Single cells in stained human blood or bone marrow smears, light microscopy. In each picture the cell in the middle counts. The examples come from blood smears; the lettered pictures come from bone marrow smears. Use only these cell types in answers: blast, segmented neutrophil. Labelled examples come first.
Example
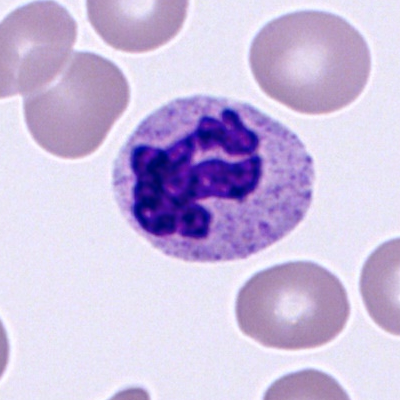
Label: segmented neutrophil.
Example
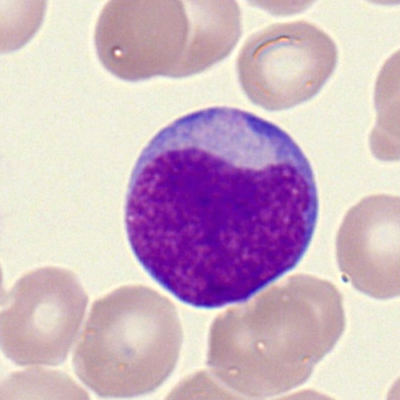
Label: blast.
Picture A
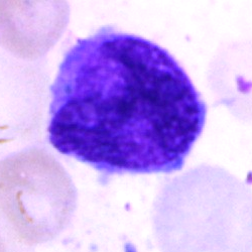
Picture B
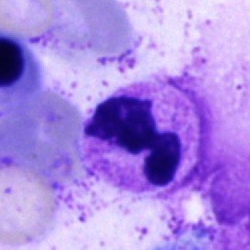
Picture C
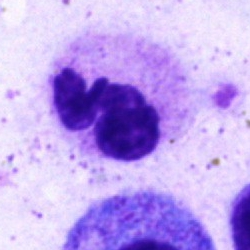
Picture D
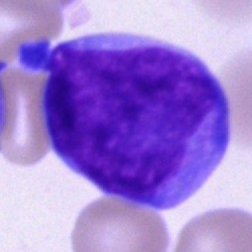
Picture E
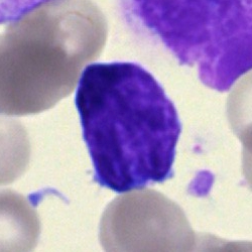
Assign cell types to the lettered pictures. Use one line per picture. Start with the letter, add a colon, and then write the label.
A: blast.
B: segmented neutrophil.
C: segmented neutrophil.
D: blast.
E: blast.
